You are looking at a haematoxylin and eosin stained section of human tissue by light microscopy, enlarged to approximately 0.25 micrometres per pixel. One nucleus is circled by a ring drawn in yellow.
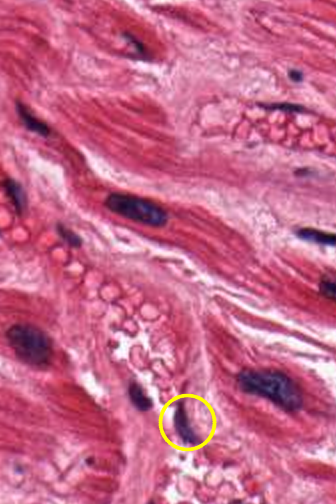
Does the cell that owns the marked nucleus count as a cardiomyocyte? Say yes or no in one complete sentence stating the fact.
No, instead of being part of a cardiomyocyte, the marked nucleus is part of a supporting cell.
